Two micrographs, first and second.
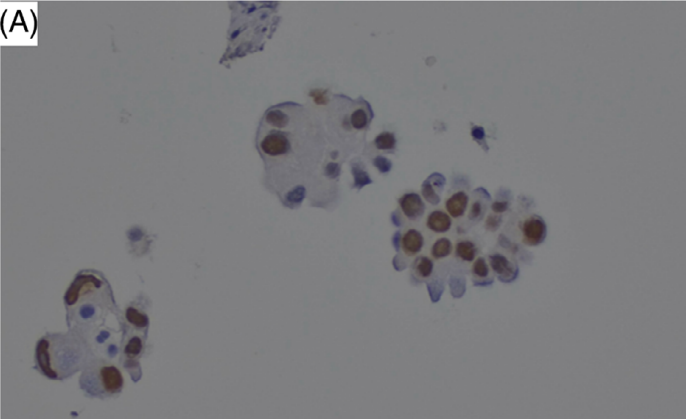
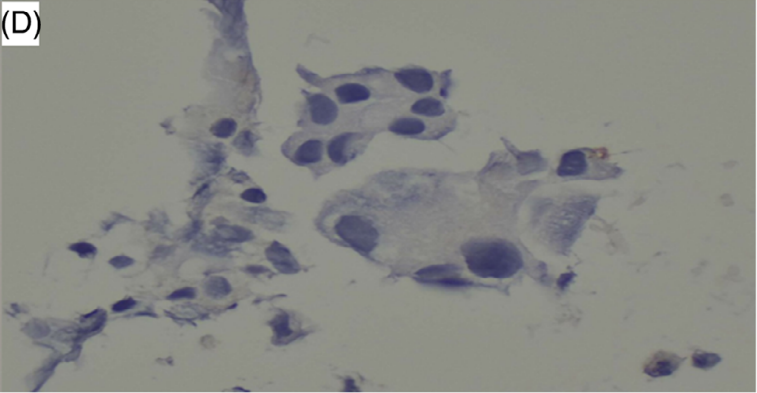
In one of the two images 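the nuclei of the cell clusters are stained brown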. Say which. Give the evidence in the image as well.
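Second image: nuclei are blue-grey only, with no brown colour. First image: many nuclei in the clusters are brown.
The first image.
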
